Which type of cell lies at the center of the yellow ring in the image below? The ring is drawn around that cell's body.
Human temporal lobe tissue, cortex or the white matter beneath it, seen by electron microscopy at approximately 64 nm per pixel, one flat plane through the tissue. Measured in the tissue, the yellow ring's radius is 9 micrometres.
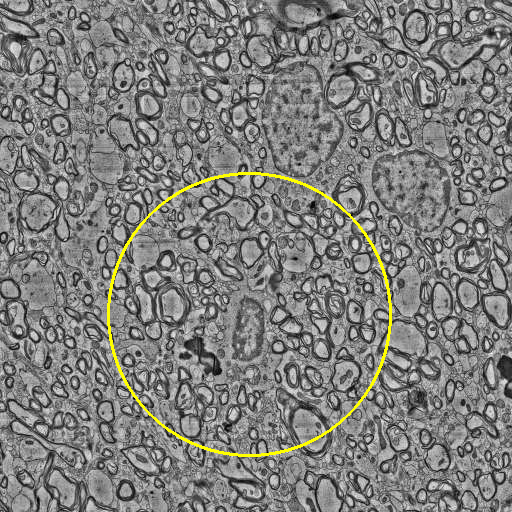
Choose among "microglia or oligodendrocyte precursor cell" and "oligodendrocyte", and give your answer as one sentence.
The cell body at the center belongs to an oligodendrocyte.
